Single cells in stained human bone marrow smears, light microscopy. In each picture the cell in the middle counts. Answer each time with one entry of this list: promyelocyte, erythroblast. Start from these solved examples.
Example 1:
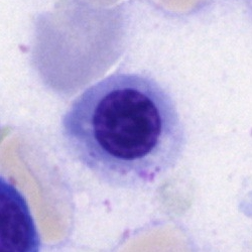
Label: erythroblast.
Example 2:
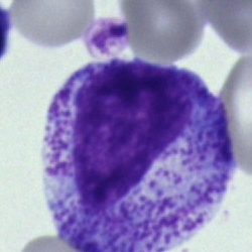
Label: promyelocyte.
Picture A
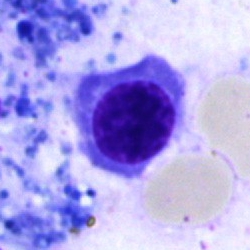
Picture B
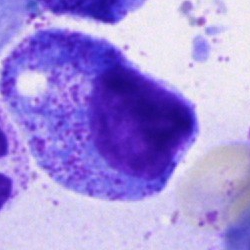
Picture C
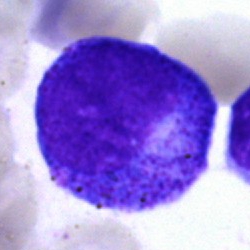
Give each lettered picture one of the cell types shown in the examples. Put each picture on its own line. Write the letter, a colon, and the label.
A: erythroblast.
B: promyelocyte.
C: promyelocyte.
